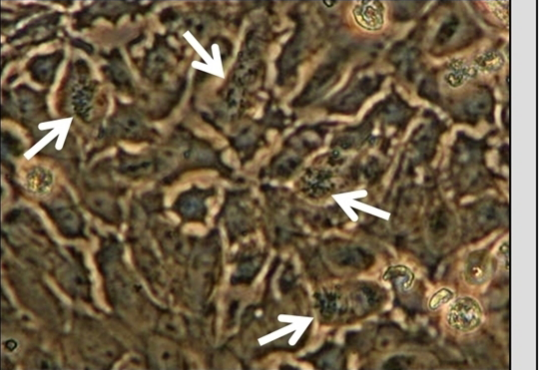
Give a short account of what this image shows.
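This is a layer of cultured epithelial cells seen in phase contrast. Each cell is a dark, flattened body outlined by bright, halo-like borders. On several cells there are small, dark, granular tufts on the surface, standing out from the smoother cytoplasm around them; these are cilia, so these are ciliated cells. Toward the right edge lie a few small, rounded, bright refractile cells.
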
